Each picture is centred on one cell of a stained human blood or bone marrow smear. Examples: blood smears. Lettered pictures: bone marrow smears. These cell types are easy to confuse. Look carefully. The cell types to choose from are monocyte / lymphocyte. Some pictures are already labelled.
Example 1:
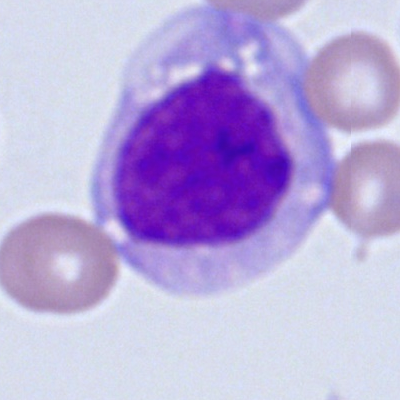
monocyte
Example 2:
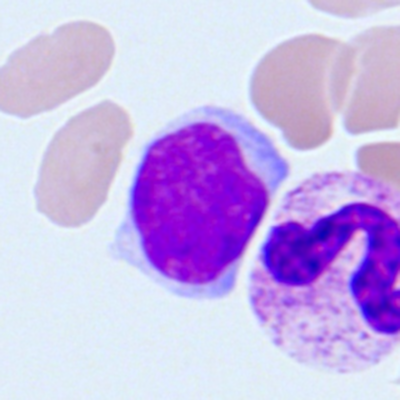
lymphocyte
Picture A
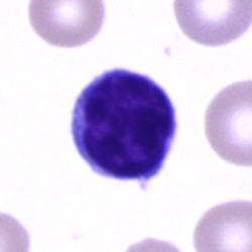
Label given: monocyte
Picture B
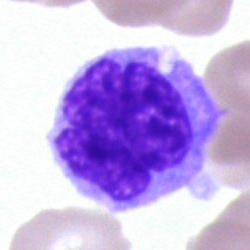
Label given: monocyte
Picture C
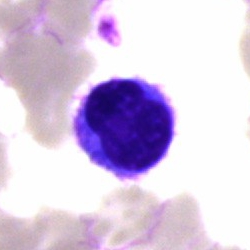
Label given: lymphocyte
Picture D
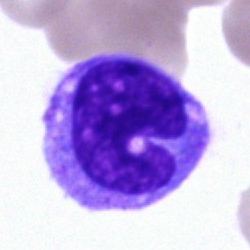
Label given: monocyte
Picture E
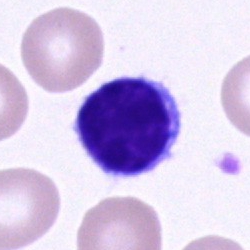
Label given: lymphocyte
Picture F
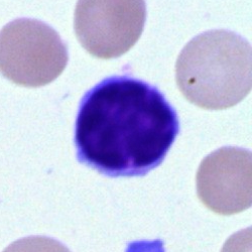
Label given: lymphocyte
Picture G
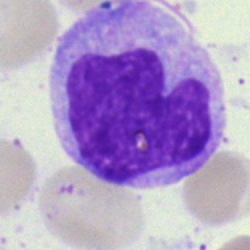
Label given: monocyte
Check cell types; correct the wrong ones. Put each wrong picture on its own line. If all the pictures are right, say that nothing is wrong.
A: change monocyte to lymphocyte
